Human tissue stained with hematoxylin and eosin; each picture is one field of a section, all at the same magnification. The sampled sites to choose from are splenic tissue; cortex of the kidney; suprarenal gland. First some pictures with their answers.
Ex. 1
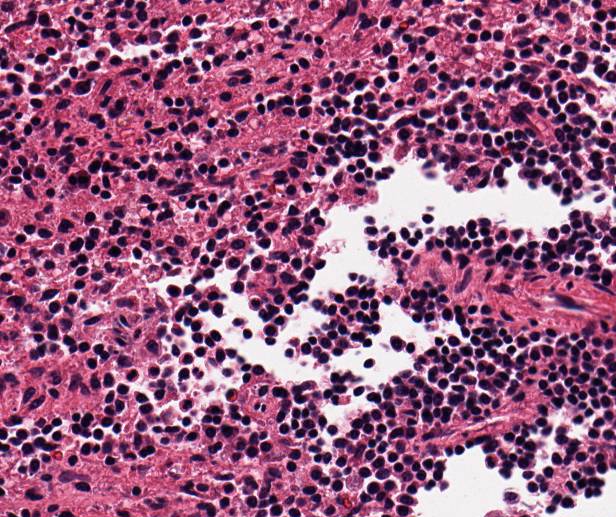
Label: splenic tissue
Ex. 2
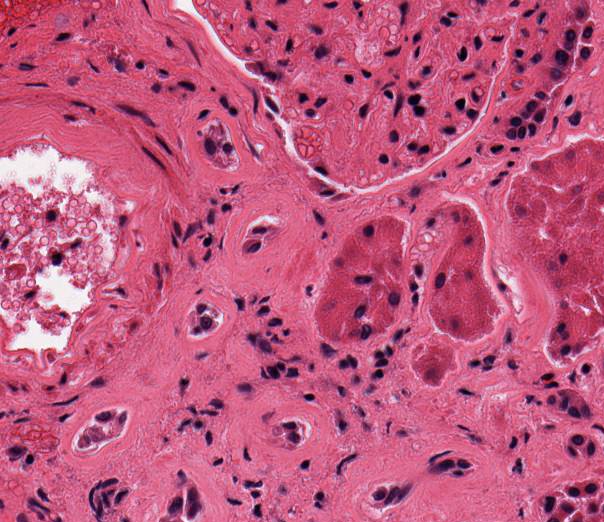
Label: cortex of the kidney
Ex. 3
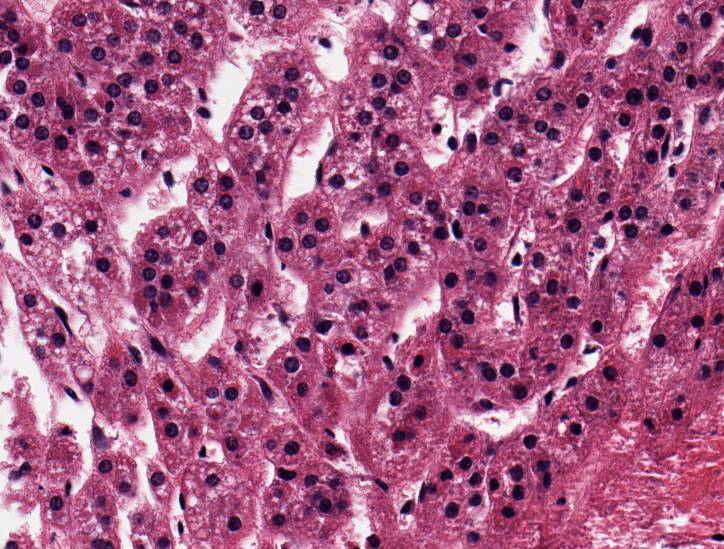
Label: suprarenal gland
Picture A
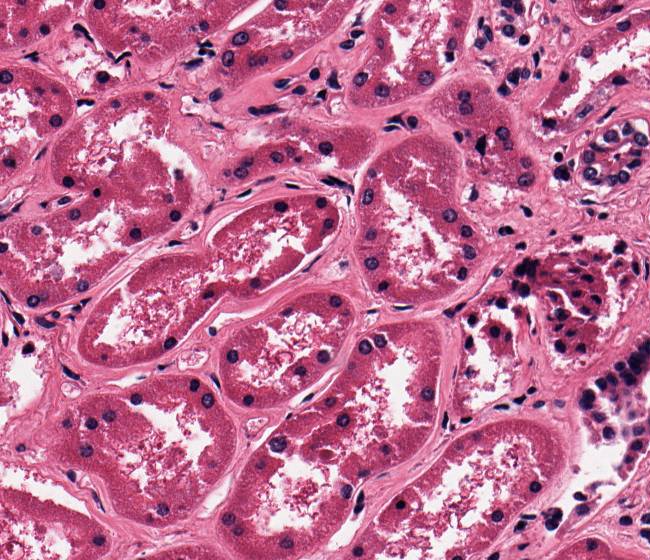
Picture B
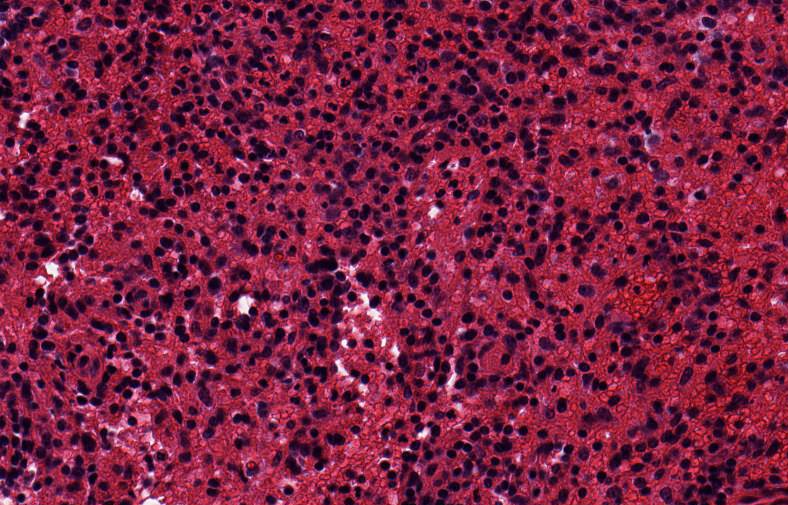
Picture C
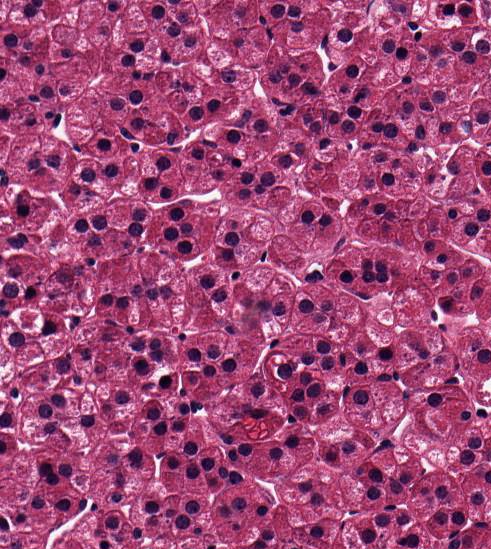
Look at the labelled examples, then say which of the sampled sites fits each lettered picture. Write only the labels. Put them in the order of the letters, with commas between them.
cortex of the kidney, splenic tissue, suprarenal gland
